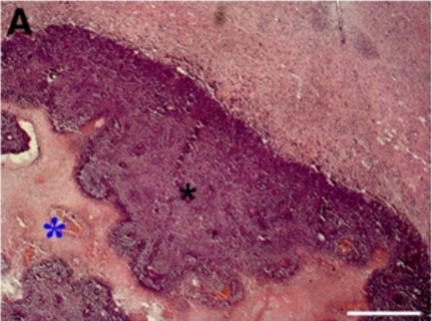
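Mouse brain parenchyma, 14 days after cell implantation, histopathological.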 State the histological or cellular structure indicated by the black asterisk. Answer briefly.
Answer: Circumscribed solid tumor mass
